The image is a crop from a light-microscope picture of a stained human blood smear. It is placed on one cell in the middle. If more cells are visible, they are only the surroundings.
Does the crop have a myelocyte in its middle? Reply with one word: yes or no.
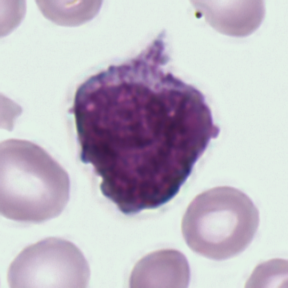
no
